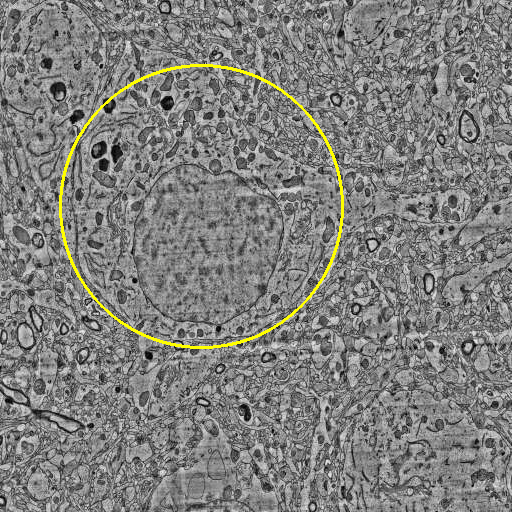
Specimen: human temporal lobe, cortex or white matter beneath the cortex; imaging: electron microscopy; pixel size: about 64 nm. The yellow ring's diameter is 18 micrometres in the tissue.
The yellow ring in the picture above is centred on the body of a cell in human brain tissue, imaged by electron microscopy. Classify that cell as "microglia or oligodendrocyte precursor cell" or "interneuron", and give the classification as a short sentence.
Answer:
The cell in the middle of the ring is an interneuron.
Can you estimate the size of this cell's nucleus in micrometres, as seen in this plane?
The nucleus of the ringed cell is approximately 10 micrometres across in this plane.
